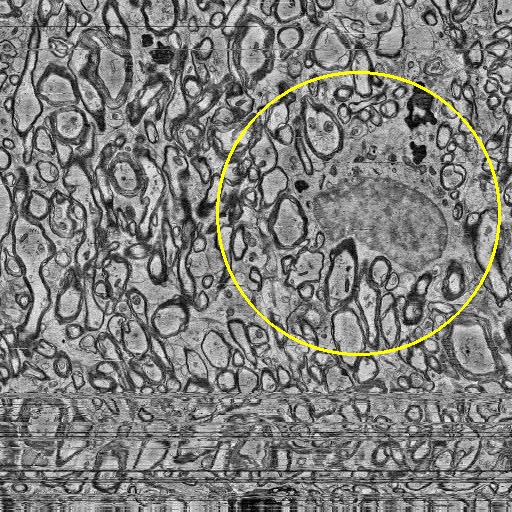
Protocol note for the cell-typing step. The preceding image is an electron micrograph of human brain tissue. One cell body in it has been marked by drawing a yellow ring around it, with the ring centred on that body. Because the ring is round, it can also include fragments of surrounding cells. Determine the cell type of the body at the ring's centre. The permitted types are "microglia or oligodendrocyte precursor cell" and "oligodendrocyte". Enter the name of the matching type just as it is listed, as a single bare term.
oligodendrocyte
